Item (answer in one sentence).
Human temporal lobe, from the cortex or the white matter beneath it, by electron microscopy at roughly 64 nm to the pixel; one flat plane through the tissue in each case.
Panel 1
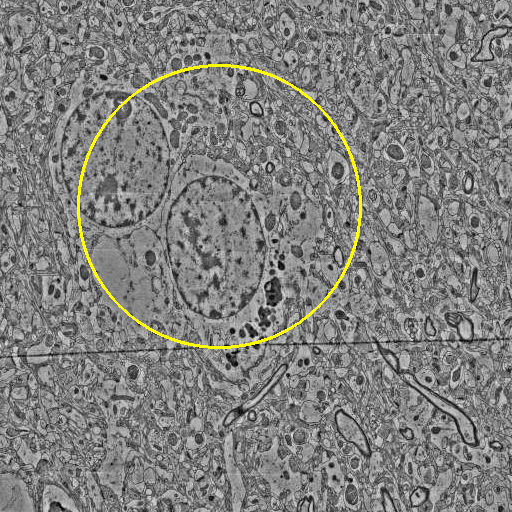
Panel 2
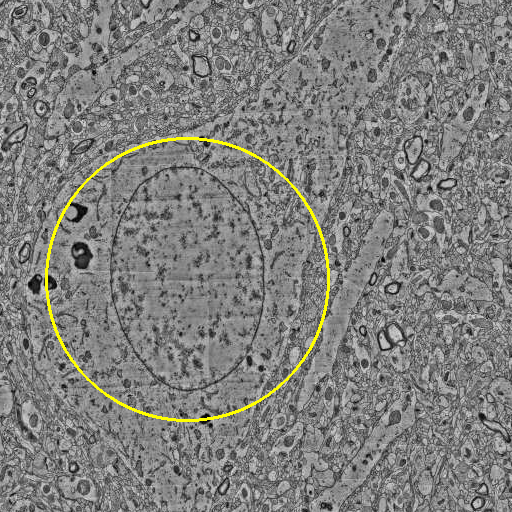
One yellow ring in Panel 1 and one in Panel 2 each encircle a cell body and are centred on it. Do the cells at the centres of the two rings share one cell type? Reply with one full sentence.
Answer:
No, Panel 1 and Panel 2 show cells of two types at the centres of their rings.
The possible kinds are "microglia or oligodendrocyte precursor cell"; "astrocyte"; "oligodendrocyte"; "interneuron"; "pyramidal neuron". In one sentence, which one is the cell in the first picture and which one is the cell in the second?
The cell ringed in the second picture is a pyramidal neuron, whereas the one ringed in the first is an astrocyte.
